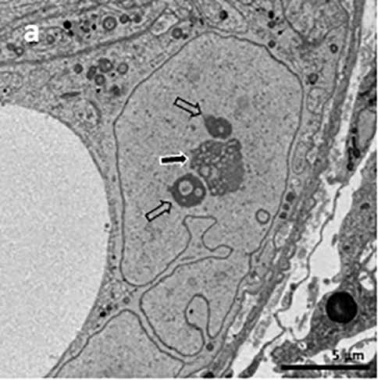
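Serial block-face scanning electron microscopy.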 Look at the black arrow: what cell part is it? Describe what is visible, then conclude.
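A large dense body with a coarse, honeycomb-like texture lies inside the pale nucleus. It is much denser than the surrounding nucleoplasm. That points to this answer: nucleoli.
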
